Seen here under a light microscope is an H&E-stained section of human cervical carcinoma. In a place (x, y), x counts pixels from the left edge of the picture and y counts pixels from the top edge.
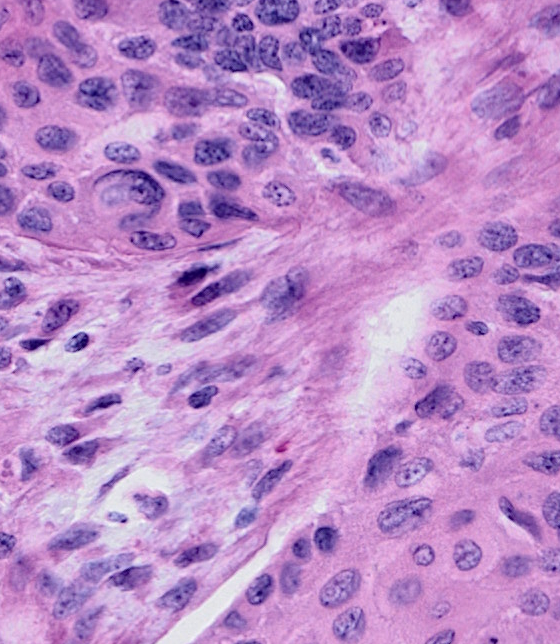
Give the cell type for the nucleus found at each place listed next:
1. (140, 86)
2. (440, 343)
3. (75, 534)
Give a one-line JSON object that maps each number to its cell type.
{"1": "squamous carcinoma cell", "2": "squamous carcinoma cell", "3": "fibroblast"}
